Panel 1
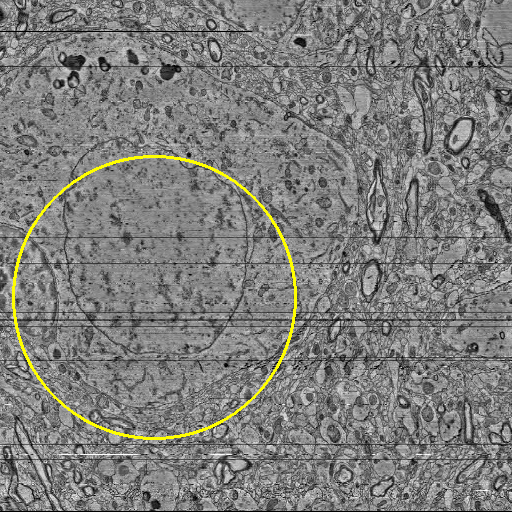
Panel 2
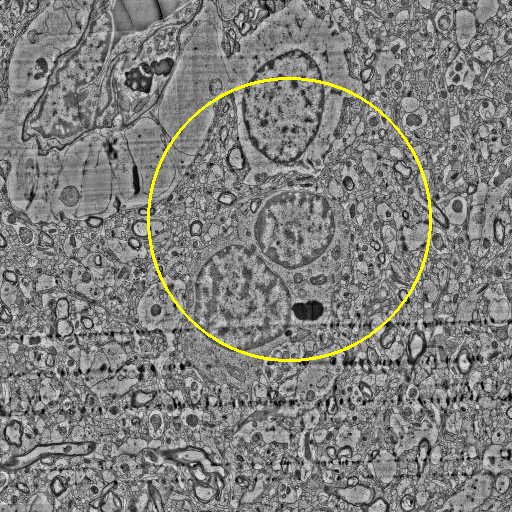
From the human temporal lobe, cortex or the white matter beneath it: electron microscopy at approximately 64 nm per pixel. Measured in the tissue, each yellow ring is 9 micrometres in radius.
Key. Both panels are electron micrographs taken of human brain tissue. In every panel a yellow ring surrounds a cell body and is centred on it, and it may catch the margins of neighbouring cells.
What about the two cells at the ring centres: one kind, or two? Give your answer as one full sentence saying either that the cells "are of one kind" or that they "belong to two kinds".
Across Panels 1 and 2, the two cells at the ring centres belong to two kinds.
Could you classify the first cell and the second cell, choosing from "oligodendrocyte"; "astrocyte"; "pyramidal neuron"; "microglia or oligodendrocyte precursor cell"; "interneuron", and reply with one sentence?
The second cell is an oligodendrocyte, while the first is a pyramidal neuron.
